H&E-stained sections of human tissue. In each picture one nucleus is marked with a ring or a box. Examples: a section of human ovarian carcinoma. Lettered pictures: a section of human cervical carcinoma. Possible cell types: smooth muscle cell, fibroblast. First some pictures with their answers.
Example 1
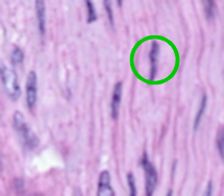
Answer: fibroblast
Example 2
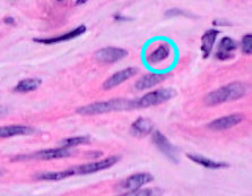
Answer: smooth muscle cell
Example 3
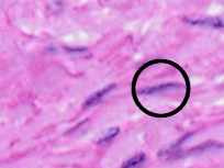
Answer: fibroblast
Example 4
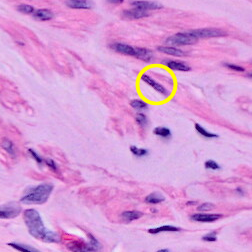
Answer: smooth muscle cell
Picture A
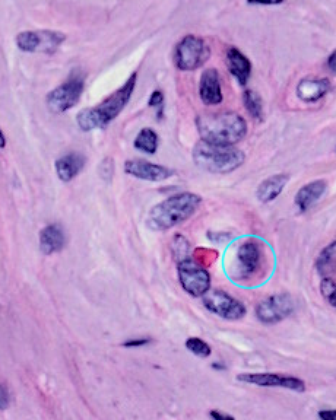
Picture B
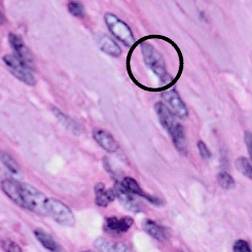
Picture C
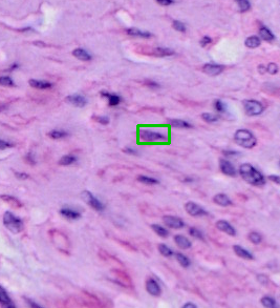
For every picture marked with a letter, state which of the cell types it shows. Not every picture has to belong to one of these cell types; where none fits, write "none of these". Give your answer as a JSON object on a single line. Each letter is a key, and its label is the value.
{"A": "none of these", "B": "none of these", "C": "smooth muscle cell"}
